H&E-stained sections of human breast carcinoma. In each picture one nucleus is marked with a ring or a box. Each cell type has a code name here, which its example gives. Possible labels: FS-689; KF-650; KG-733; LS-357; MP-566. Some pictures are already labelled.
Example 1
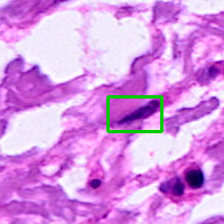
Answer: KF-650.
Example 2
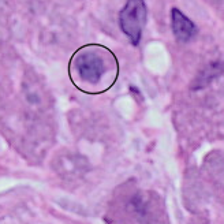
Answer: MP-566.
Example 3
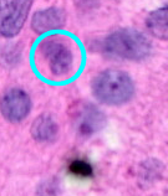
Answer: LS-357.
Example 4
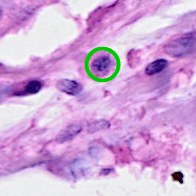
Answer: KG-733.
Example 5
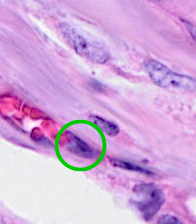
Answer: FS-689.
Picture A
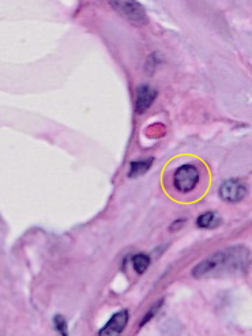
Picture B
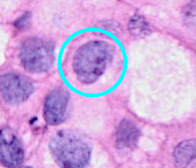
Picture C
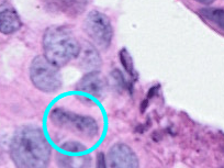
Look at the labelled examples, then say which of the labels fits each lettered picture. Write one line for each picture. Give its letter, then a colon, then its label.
A: KG-733.
B: LS-357.
C: LS-357.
